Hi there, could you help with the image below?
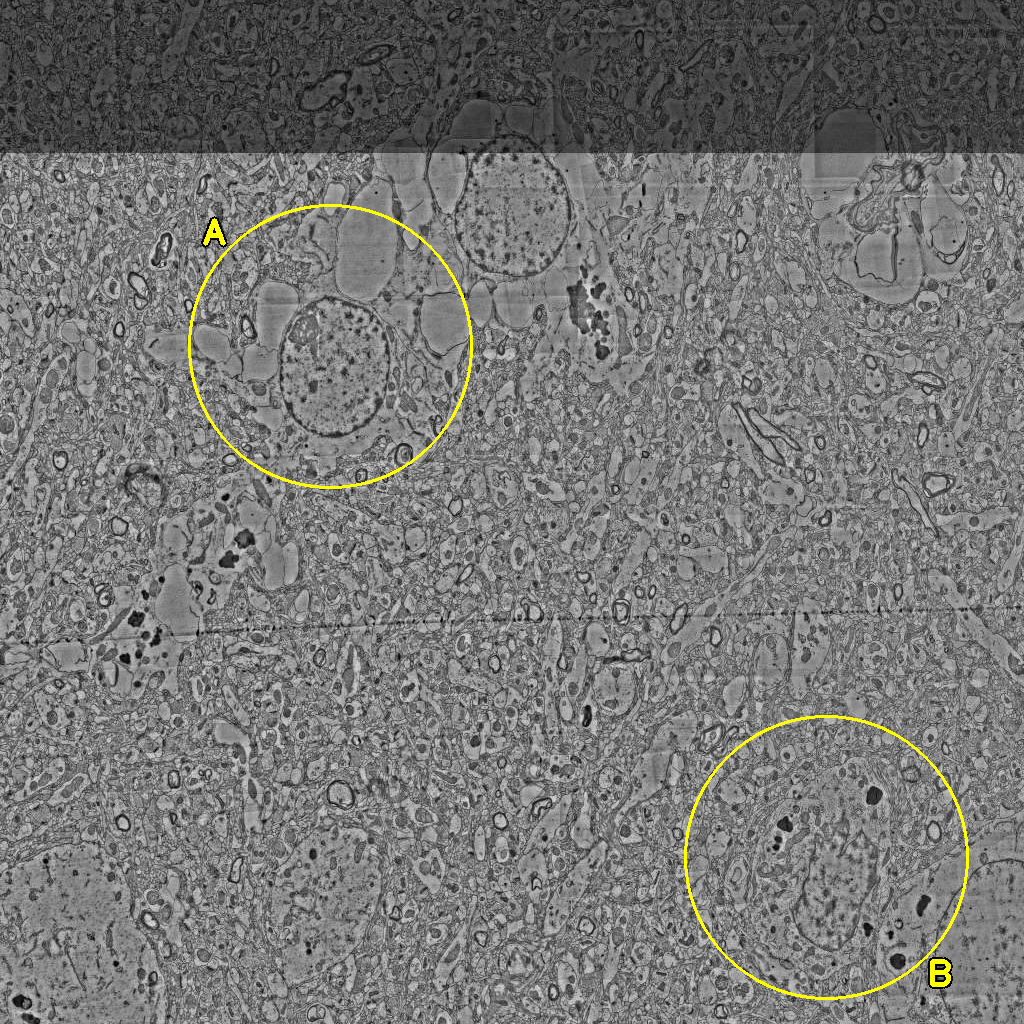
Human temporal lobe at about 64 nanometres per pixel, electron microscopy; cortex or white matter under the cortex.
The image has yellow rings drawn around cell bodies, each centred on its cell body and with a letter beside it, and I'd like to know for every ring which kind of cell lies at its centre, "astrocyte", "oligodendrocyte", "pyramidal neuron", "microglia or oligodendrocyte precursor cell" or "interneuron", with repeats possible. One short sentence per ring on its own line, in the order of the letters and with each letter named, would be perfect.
Ring A is placed around an astrocyte.
Ring B is placed around an interneuron.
